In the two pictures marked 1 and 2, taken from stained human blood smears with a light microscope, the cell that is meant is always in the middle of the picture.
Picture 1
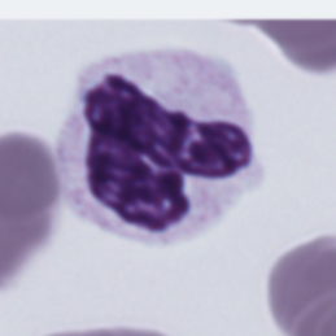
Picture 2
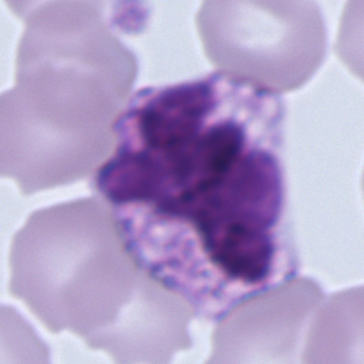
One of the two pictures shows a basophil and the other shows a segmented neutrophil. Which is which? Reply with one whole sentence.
Picture 2 shows a basophil, while picture 1 shows a segmented neutrophil.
